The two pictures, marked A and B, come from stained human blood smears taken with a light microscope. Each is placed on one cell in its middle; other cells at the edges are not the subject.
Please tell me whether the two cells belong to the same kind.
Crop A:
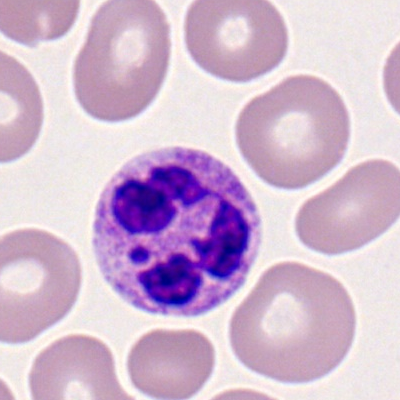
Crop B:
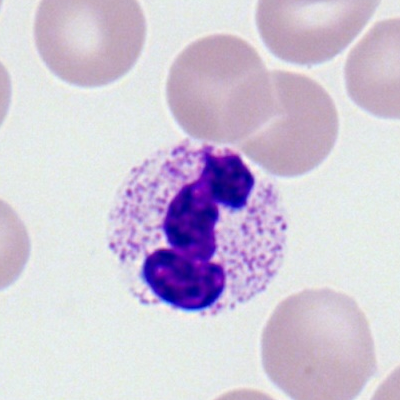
yes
